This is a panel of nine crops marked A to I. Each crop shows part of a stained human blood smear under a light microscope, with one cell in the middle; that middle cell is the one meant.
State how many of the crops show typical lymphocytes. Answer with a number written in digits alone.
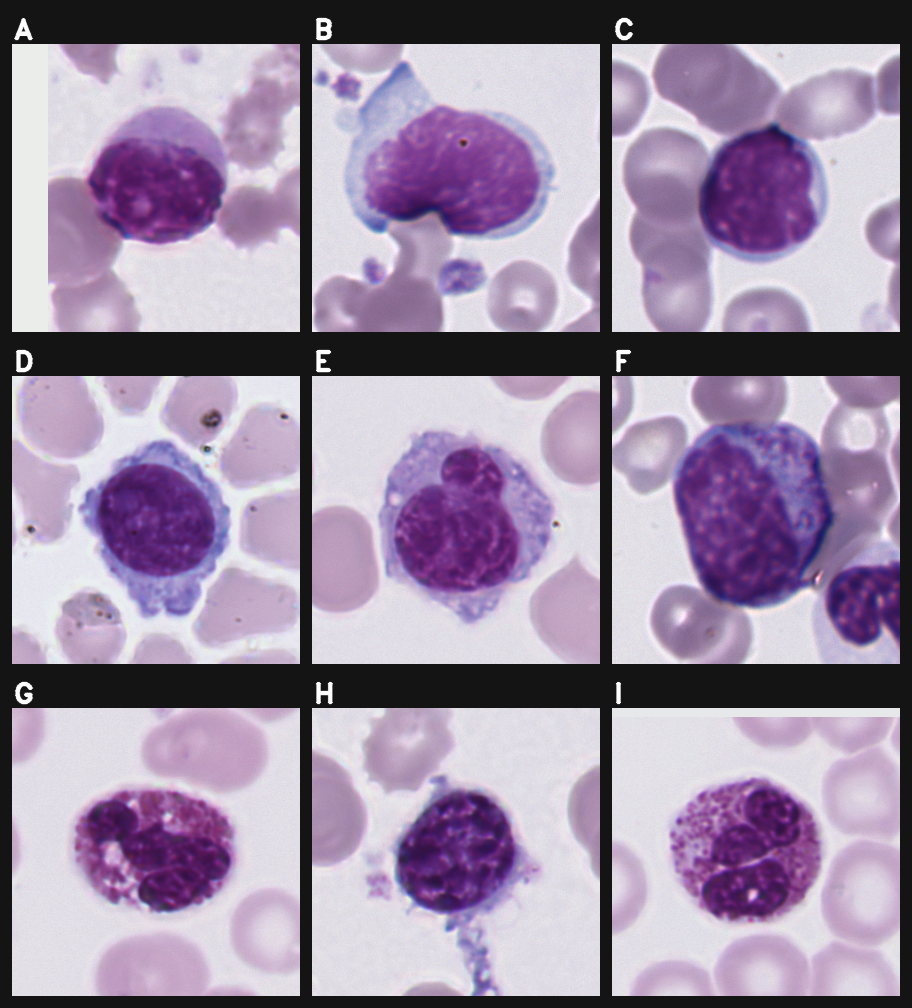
2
